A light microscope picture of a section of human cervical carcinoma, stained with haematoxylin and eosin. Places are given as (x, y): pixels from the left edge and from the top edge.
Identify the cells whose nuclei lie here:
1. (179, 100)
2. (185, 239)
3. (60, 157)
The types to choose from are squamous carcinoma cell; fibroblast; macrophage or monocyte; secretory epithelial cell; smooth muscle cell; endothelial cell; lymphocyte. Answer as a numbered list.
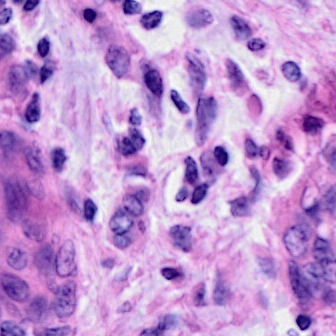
1. lymphocyte
2. macrophage or monocyte
3. lymphocyte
